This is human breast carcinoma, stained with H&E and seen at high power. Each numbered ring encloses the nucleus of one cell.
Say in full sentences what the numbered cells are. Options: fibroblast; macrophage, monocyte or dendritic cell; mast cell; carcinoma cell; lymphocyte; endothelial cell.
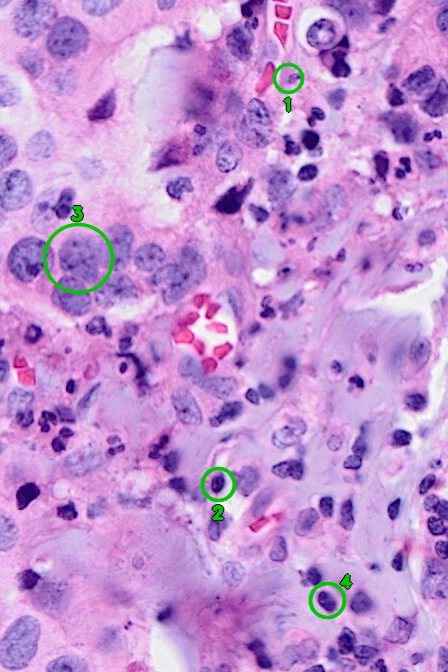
Cell 1 is an endothelial cell. Cells 2 and 4 are lymphocytes. Cell 3 is a carcinoma cell.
